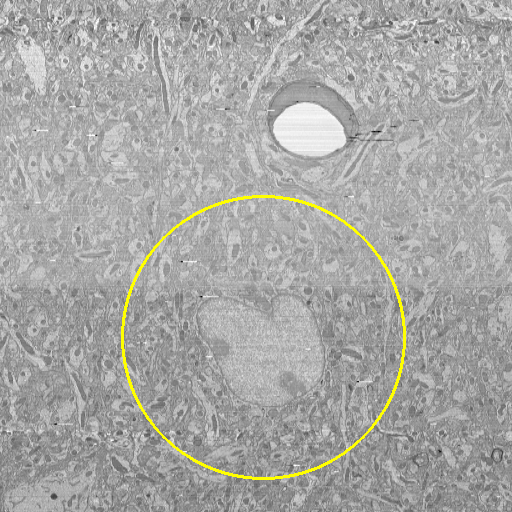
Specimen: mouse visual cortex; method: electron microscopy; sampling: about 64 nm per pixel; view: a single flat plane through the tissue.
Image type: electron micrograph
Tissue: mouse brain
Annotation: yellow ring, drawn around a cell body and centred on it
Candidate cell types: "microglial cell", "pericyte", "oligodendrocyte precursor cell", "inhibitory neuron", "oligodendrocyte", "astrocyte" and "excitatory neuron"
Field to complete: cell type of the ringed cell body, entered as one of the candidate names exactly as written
astrocyte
